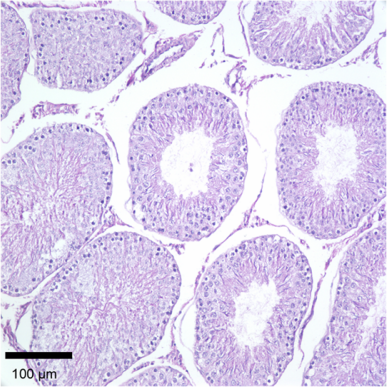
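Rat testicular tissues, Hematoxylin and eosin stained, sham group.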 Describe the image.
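Cross-sections of seminiferous tubules of the testis are seen, stained purple and pink. Each tubule is round to oval and lined by a thick, layered epithelium with darkly stained nuclei near the base and paler cells toward the lumen. The central lumens contain pale pink fibrous material.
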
